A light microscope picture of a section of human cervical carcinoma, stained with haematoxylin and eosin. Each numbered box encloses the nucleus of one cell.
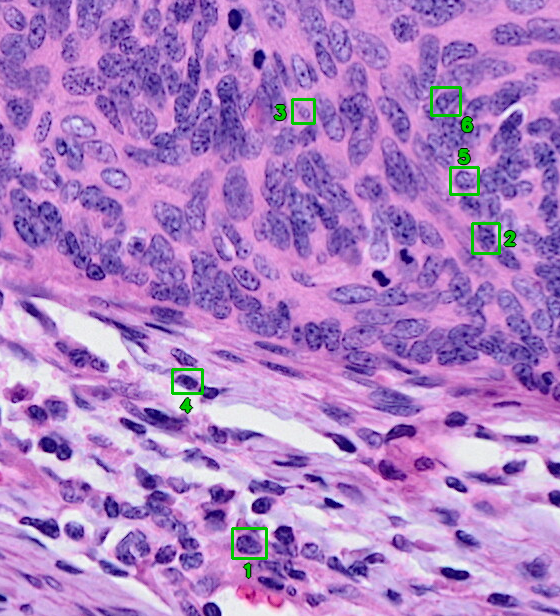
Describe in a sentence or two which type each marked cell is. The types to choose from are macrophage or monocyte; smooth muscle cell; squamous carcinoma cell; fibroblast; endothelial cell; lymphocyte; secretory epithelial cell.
Cell 1 is a lymphocyte, cell 2 is a squamous carcinoma cell, cell 3 is a squamous carcinoma cell, cell 4 is a lymphocyte, cell 5 is a squamous carcinoma cell and cell 6 is a squamous carcinoma cell.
